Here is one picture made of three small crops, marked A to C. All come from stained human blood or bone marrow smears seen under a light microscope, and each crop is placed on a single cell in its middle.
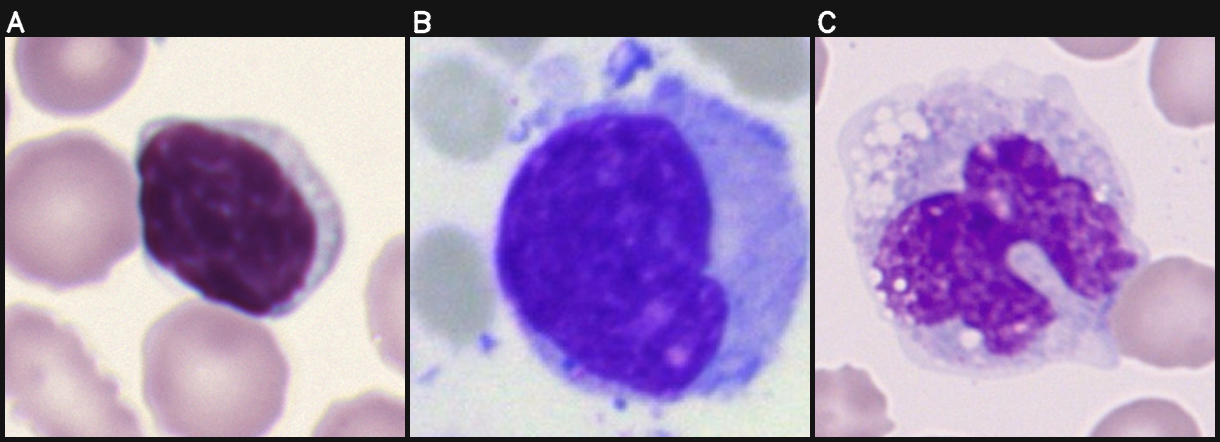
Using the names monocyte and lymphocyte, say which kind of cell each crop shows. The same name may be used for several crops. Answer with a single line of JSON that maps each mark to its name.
{"A": "lymphocyte", "B": "monocyte", "C": "monocyte"}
